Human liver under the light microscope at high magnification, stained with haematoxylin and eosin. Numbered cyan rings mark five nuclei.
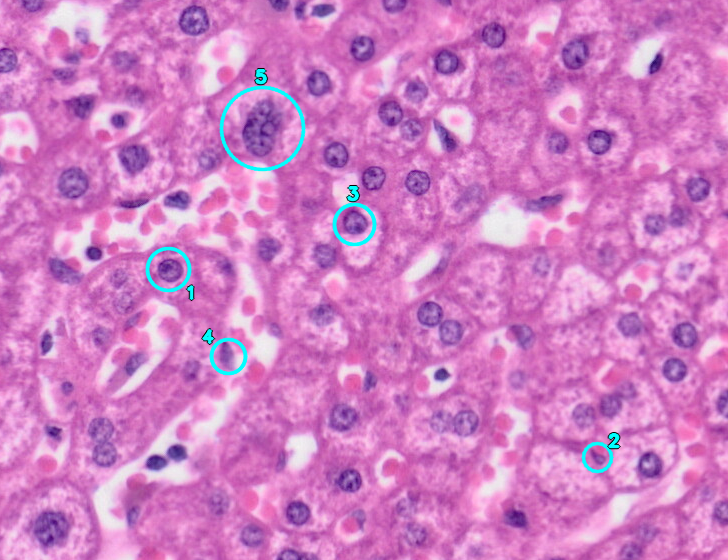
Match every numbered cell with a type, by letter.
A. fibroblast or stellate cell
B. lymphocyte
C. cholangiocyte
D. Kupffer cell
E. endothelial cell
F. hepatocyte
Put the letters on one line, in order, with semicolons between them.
F; E; F; E; F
